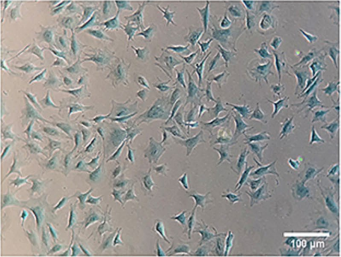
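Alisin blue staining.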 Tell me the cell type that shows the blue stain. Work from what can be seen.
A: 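Scattered polygonal to triangular cells, several with short projections. The cells' cytoplasm is stained blue-green against a pale background.
Conclusion: chondrocytes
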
